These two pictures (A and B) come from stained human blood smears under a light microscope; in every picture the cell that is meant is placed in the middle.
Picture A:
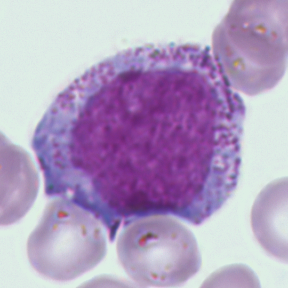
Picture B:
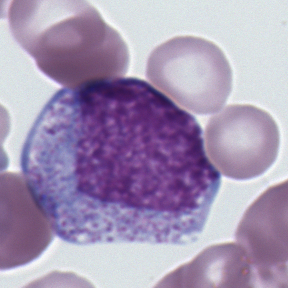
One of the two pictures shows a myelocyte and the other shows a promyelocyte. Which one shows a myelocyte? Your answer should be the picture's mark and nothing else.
B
